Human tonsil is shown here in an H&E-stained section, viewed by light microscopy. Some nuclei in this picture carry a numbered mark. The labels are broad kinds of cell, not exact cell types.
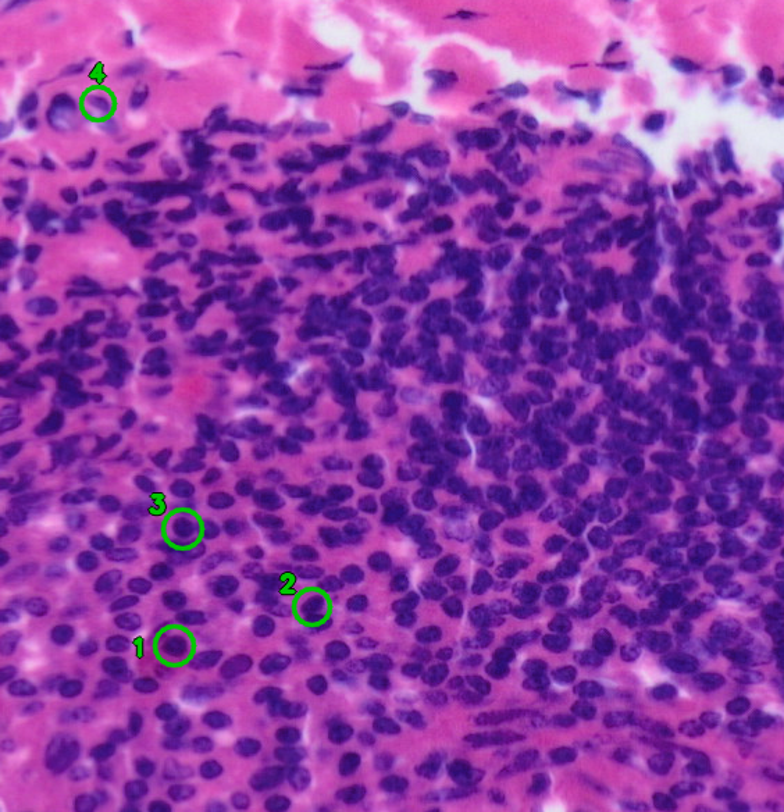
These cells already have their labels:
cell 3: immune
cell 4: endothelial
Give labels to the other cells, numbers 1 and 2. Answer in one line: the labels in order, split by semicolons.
immune; immune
